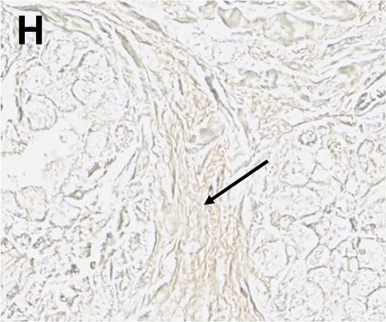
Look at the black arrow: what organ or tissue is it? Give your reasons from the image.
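The arrow points to a band of wavy fibrous tissue. The band runs between groups of gland cells. The answer: stroma.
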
